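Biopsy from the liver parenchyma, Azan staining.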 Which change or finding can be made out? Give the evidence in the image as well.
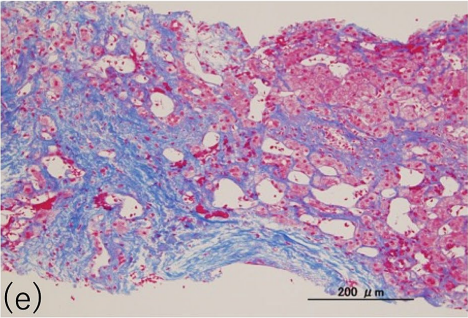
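Many enlarged empty spaces lie among the liver cells. Some spaces contain red blood cells.
Conclusion: dilated sinusoids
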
